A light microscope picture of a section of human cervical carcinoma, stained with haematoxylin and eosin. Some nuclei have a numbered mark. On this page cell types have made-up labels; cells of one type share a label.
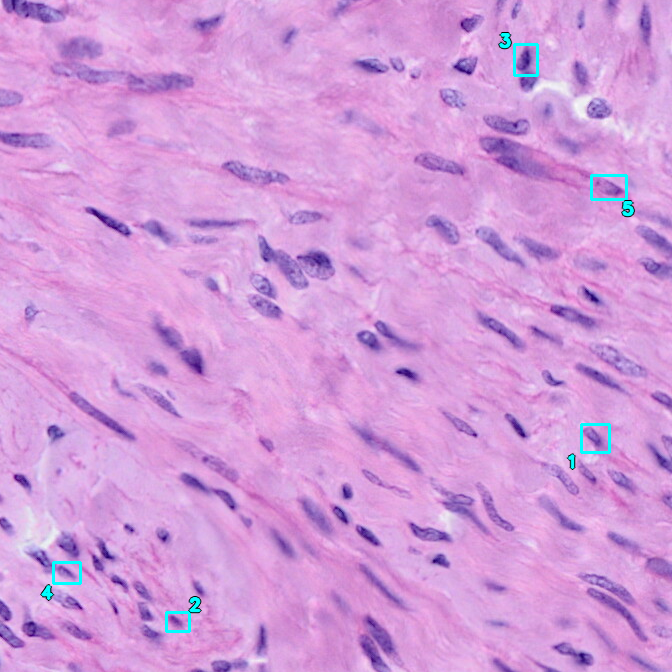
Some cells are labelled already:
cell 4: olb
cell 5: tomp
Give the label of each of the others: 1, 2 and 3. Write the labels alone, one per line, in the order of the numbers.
tomp
tomp
olb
